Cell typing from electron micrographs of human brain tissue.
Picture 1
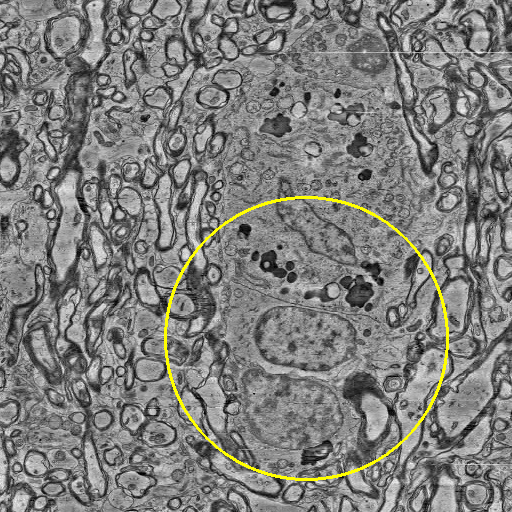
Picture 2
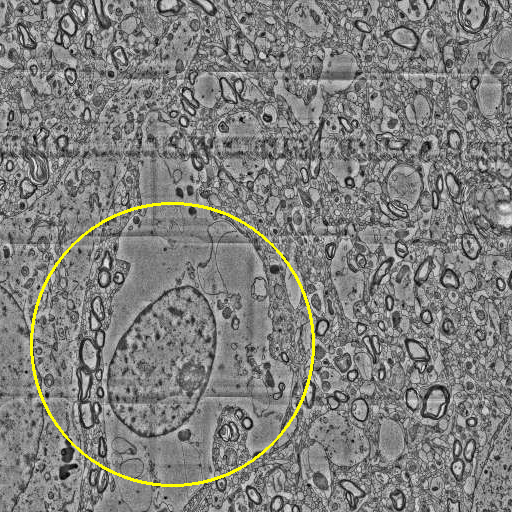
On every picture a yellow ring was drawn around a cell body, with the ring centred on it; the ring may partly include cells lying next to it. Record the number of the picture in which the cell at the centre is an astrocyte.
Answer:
2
